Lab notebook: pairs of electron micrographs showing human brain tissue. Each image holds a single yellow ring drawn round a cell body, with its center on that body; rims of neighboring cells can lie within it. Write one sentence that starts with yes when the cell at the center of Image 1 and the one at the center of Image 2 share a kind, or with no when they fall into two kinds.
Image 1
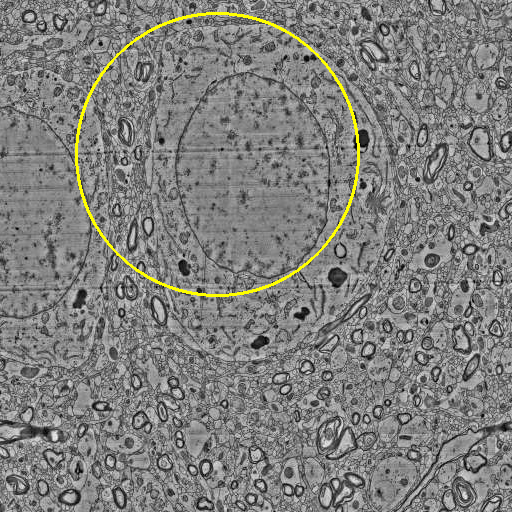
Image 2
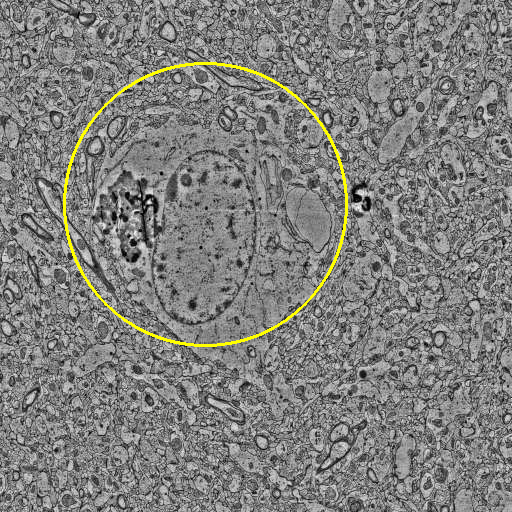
No, the centered cell in Image 1 and the centered cell in Image 2 are of two kinds.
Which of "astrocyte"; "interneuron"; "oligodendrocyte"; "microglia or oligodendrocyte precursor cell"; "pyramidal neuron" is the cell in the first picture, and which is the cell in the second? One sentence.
The two differ: the first cell is a pyramidal neuron and the second is an astrocyte.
